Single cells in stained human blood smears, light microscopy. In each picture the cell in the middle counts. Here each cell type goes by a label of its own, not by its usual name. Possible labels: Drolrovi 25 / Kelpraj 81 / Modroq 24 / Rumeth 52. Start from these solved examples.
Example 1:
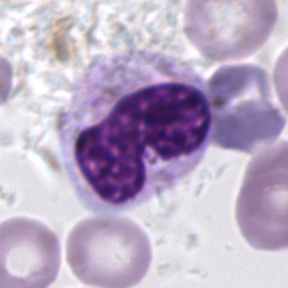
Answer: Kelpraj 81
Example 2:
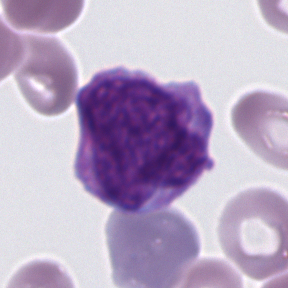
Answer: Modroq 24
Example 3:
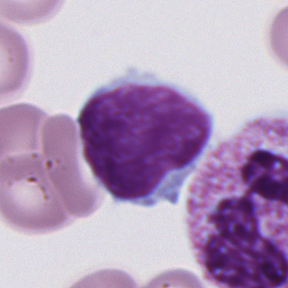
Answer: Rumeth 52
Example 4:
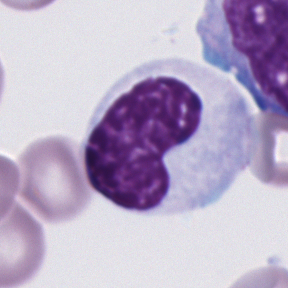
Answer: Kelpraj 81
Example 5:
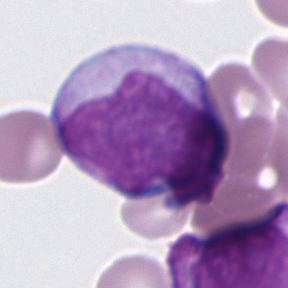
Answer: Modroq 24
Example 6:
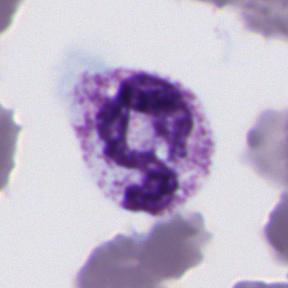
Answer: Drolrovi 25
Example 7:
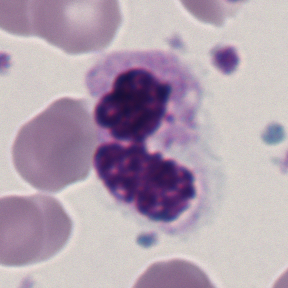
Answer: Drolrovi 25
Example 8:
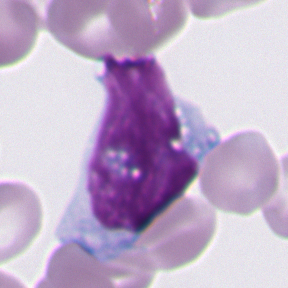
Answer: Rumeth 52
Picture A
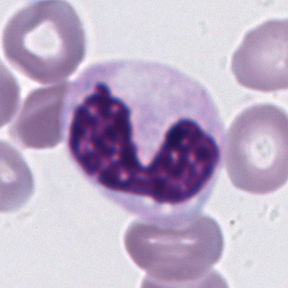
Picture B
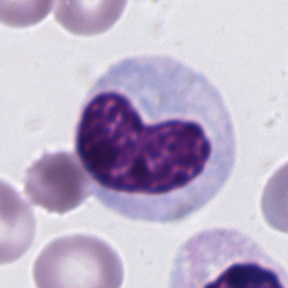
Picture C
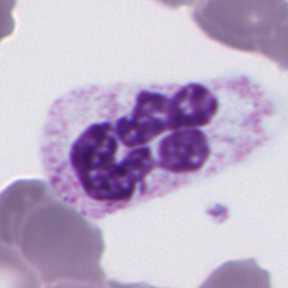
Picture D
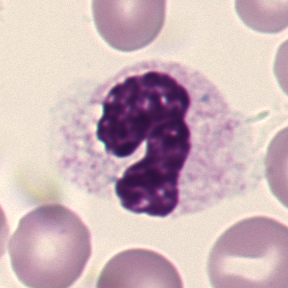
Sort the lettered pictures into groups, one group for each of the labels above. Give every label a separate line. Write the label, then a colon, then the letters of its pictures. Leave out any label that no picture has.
Drolrovi 25: C, D
Kelpraj 81: A, B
